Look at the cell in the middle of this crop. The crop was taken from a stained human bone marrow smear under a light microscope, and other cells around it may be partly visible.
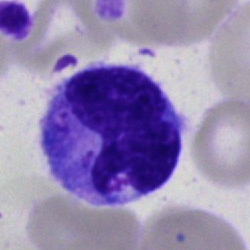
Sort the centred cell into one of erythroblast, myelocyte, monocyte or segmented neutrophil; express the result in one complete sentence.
As for the cell in the middle, it is a monocyte.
